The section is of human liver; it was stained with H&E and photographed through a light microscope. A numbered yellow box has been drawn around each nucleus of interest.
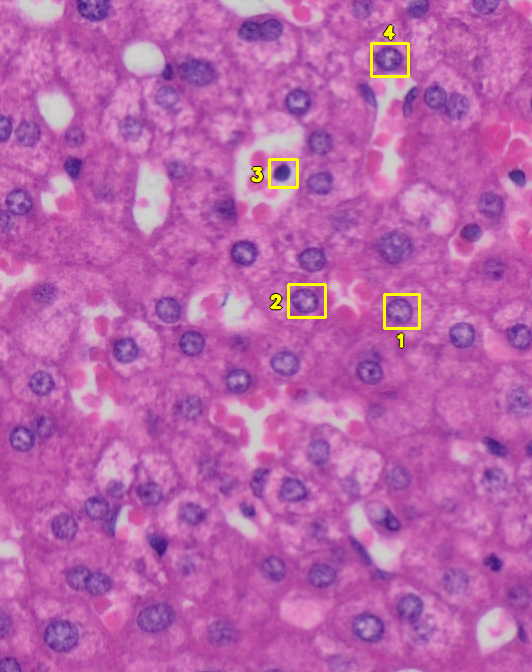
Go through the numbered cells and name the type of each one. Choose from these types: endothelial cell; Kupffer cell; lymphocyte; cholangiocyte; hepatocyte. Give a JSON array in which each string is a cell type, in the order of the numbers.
["hepatocyte", "hepatocyte", "lymphocyte", "hepatocyte"]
